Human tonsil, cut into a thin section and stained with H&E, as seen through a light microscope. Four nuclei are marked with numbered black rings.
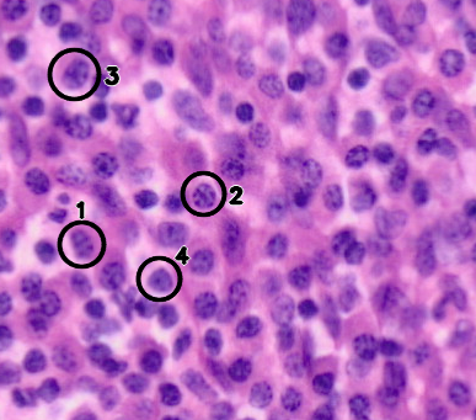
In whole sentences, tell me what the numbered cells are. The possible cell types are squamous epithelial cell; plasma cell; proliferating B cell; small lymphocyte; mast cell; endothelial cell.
Cell 1 is a plasma cell, cell 2 is a plasma cell, cell 3 is a plasma cell and cell 4 is a mast cell.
